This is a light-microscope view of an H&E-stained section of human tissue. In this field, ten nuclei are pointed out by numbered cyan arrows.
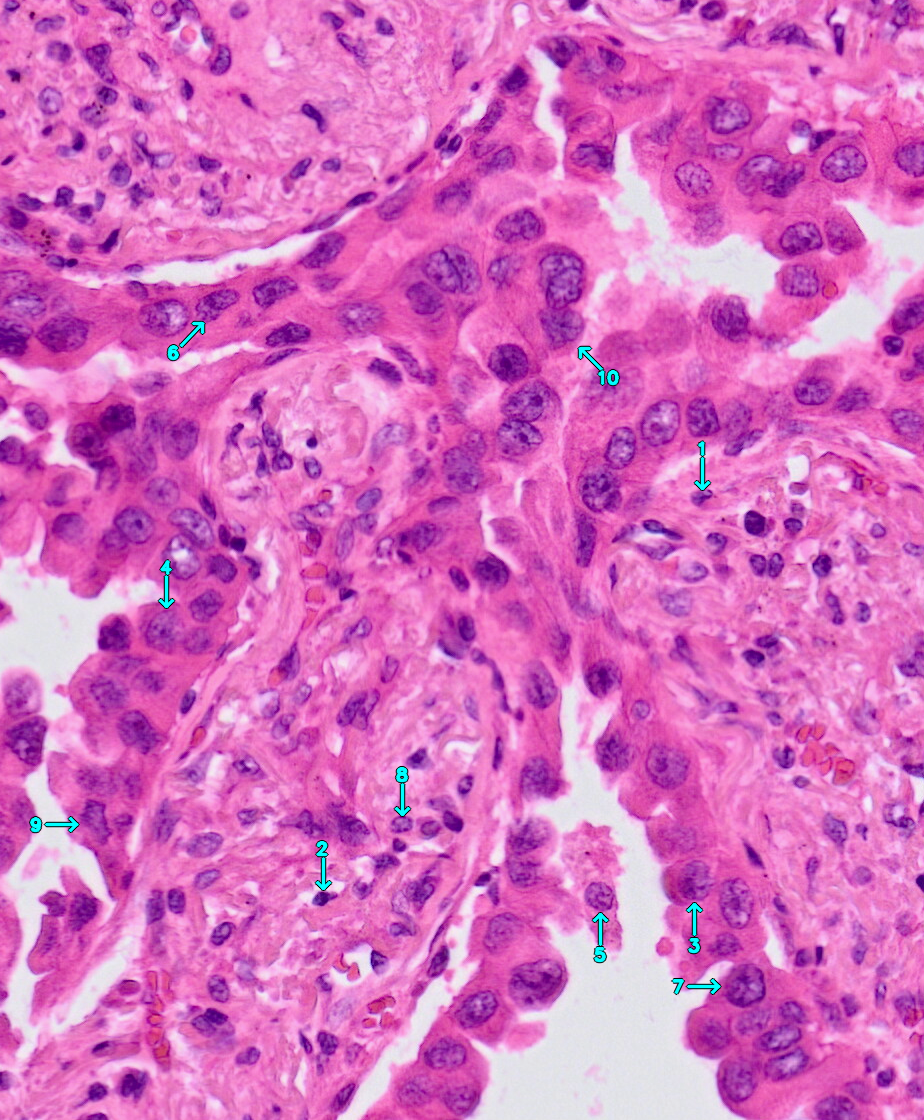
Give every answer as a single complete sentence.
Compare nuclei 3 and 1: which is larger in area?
At about 4 times the area of nucleus 1, nucleus 3 is the larger of the two.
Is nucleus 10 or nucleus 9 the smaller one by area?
Number 9 is smaller, since number 10 takes up about 1.5 times as much area.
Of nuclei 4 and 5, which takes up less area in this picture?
With nucleus 4 about 2 times its size, nucleus 5 is the smaller of the two.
